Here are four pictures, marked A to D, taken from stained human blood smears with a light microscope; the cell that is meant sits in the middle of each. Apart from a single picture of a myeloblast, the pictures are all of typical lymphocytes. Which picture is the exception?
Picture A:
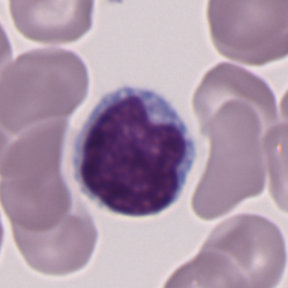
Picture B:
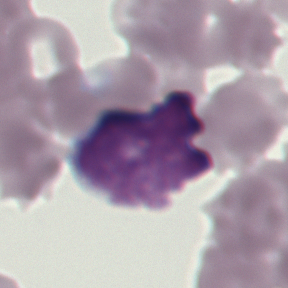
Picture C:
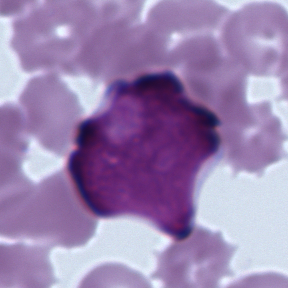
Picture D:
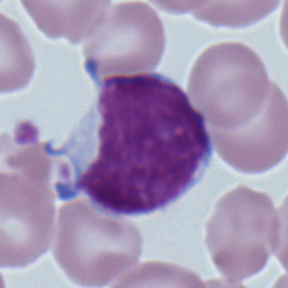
C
